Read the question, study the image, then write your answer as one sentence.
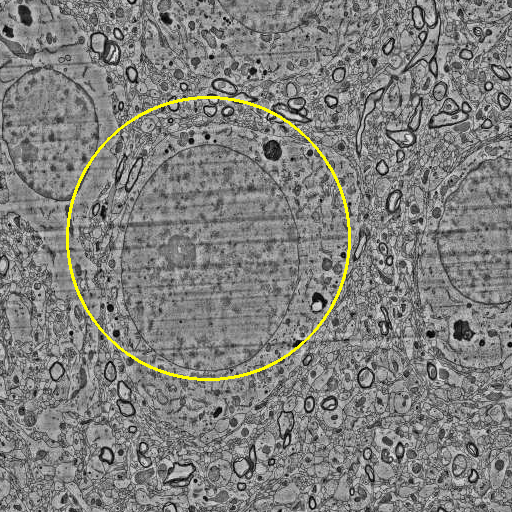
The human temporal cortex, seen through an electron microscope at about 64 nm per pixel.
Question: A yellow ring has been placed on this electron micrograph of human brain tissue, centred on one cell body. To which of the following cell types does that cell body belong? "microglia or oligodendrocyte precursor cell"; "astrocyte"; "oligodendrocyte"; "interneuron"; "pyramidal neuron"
That cell body belongs to a pyramidal neuron.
